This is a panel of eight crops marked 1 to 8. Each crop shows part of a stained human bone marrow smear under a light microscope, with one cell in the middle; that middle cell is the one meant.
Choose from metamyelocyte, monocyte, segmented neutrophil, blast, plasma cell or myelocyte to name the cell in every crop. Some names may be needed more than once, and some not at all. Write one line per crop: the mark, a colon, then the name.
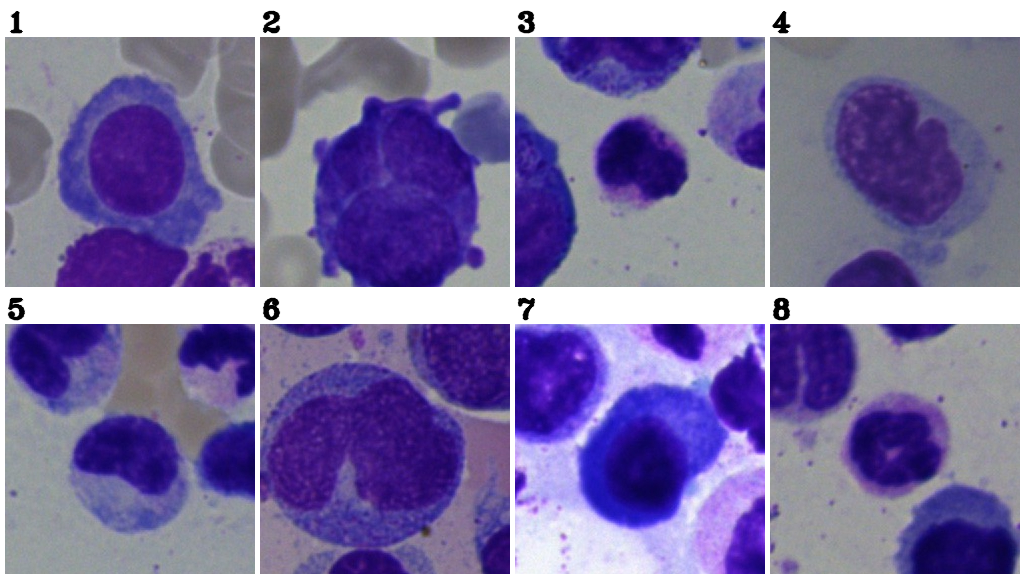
1: plasma cell
2: blast
3: segmented neutrophil
4: monocyte
5: metamyelocyte
6: monocyte
7: plasma cell
8: segmented neutrophil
